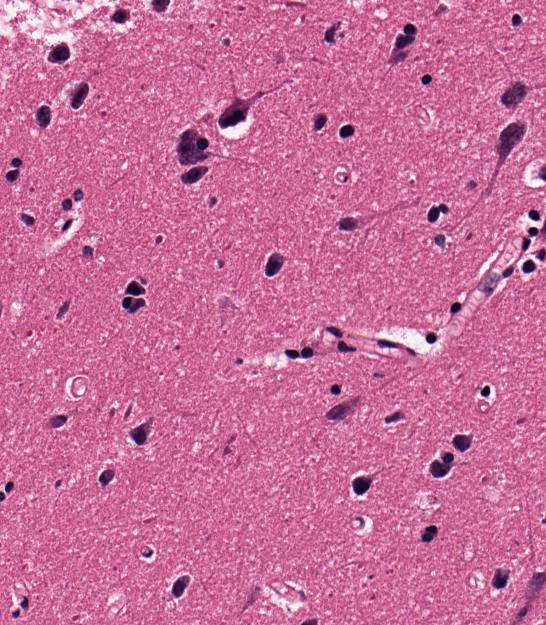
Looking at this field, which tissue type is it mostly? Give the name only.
cerebral cortex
